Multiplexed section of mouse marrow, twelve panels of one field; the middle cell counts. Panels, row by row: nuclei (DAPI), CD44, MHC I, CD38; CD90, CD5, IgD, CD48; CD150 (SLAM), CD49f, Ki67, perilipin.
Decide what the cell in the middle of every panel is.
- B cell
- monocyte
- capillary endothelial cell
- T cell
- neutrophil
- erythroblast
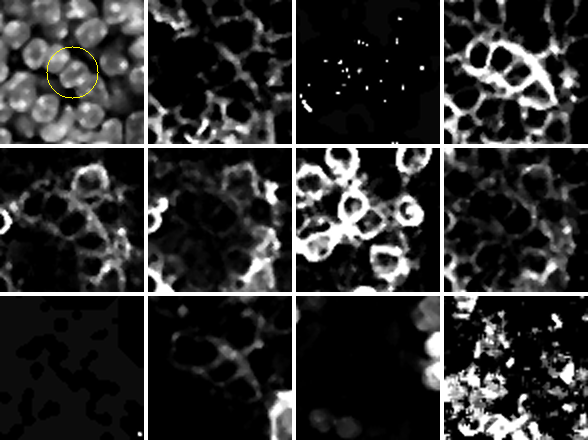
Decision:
capillary endothelial cell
